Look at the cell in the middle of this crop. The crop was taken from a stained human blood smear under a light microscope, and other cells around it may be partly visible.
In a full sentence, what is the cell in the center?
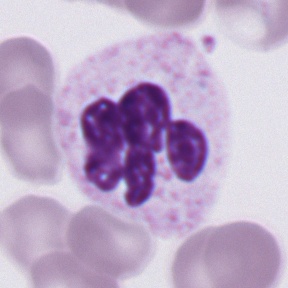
The crop shows a segmented neutrophil in its centre.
